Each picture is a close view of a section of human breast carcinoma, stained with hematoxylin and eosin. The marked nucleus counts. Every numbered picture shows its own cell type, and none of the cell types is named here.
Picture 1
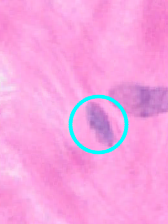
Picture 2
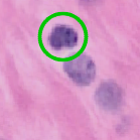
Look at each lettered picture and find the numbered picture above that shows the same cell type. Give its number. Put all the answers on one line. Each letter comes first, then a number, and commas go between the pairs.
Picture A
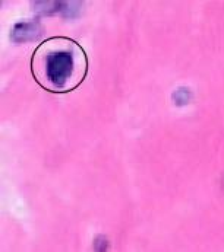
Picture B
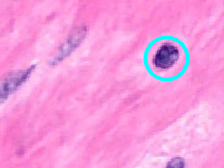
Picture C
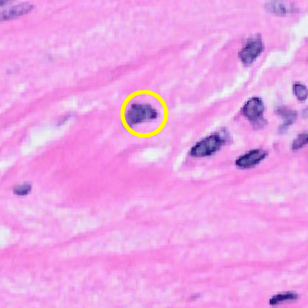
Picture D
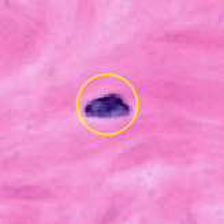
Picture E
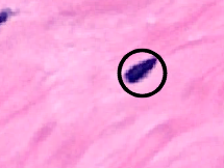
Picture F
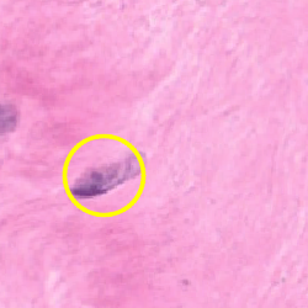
A 2, B 2, C 2, D 2, E 2, F 1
